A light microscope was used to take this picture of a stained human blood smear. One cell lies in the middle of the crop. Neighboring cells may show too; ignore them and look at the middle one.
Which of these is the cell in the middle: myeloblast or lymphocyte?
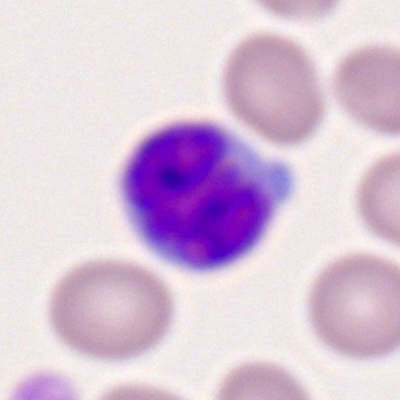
lymphocyte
